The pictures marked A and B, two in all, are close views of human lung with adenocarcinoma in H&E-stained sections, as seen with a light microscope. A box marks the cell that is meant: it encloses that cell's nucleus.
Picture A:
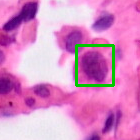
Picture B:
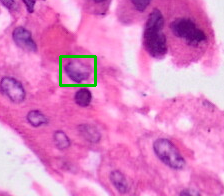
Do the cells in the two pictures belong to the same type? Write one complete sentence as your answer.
Yes, they are the same type: both are “macrophages or monocytes”.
